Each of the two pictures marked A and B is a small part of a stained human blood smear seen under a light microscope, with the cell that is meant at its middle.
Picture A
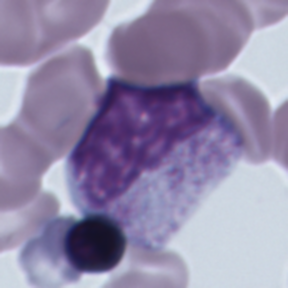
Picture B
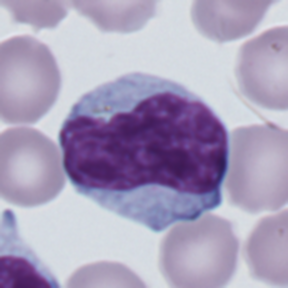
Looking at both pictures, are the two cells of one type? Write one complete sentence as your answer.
No, they differ: the cell is a promyelocyte in picture A and a monocyte in picture B.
